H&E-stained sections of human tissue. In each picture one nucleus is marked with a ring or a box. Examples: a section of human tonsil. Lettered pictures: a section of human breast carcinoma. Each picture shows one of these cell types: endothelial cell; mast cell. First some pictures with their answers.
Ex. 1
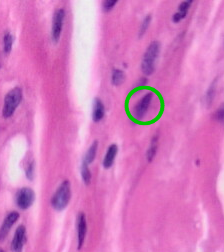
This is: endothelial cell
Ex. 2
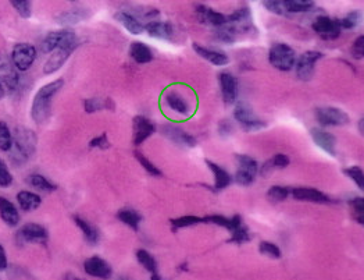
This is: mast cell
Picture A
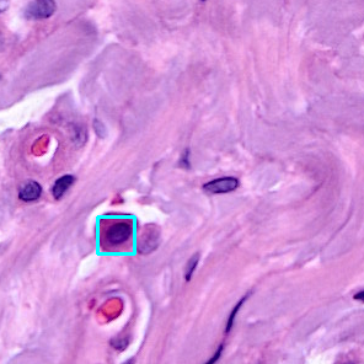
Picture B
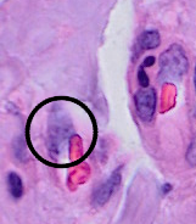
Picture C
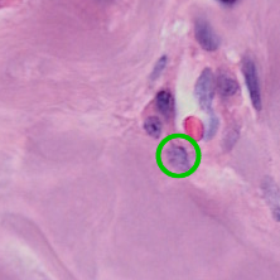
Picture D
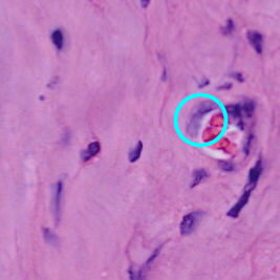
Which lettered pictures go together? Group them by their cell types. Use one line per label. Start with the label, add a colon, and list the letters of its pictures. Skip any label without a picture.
endothelial cell: B, C, D
mast cell: A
